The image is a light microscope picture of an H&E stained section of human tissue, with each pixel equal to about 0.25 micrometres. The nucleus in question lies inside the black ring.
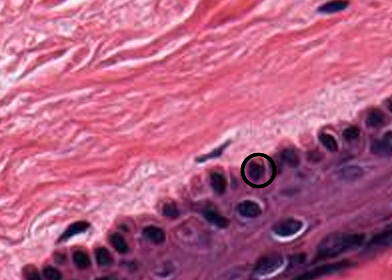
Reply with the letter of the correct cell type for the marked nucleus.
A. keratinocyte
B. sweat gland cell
A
